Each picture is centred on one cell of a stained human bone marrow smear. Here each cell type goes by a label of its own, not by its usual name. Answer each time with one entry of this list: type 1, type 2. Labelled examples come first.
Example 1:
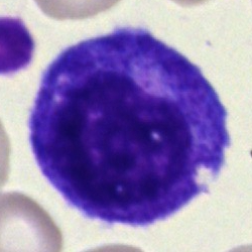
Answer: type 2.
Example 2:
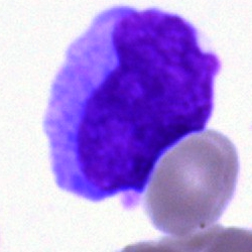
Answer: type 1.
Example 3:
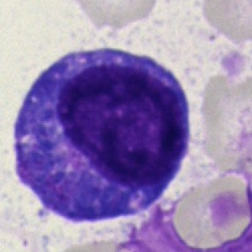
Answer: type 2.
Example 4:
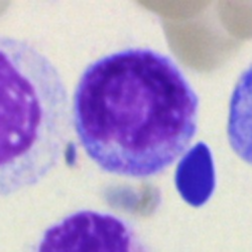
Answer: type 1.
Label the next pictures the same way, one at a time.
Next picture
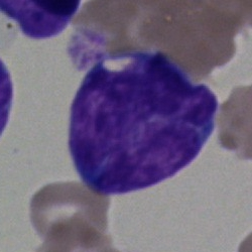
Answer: type 1.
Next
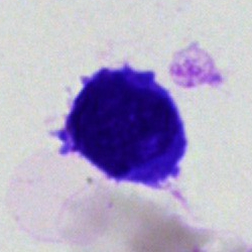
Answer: type 1.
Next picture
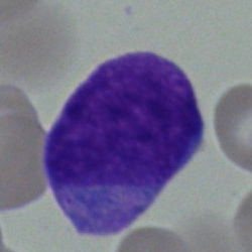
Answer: type 1.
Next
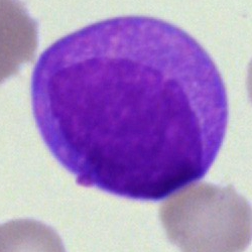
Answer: type 1.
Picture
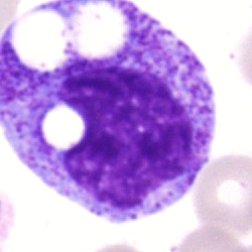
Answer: type 2.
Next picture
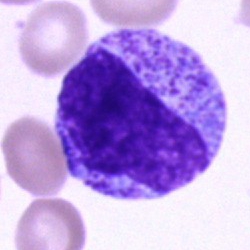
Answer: type 2.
